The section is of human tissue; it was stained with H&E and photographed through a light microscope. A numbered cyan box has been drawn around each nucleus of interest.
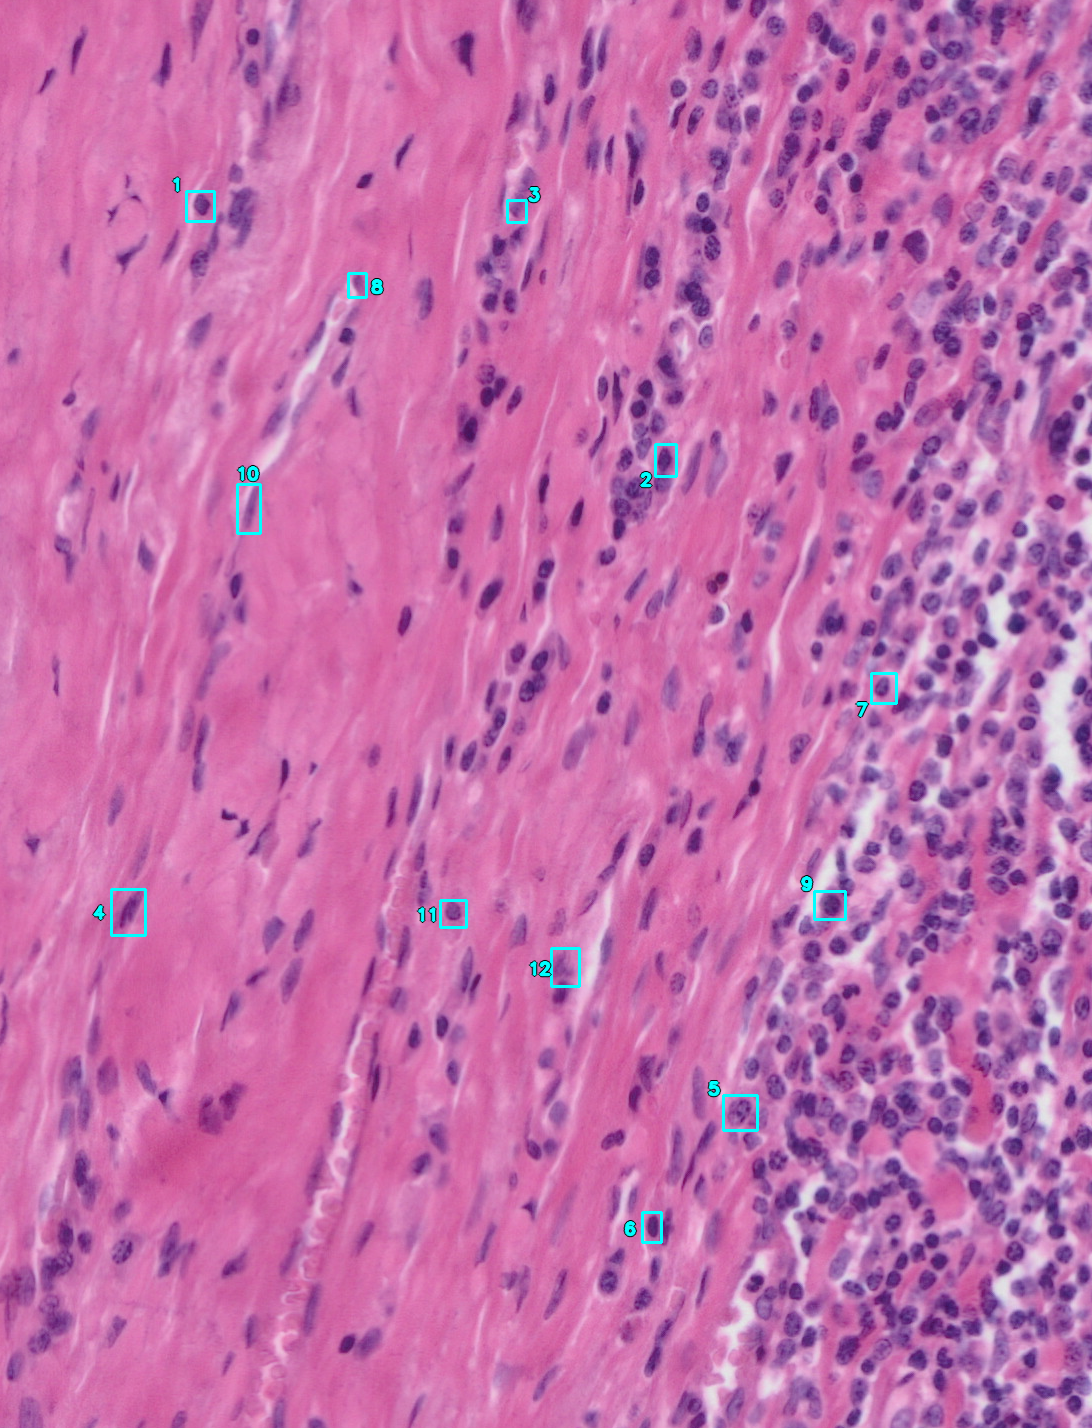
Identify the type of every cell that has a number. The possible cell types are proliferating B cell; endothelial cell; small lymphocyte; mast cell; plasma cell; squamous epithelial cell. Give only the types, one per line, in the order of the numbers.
mast cell
plasma cell
endothelial cell
endothelial cell
plasma cell
mast cell
mast cell
endothelial cell
plasma cell
endothelial cell
mast cell
endothelial cell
